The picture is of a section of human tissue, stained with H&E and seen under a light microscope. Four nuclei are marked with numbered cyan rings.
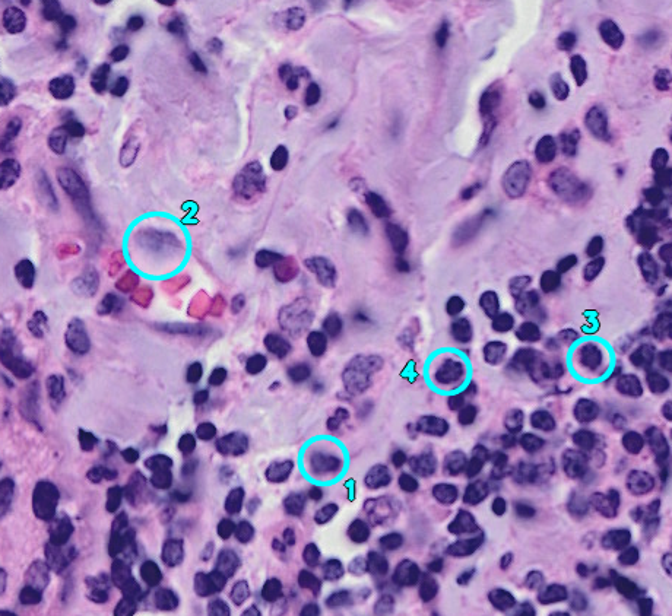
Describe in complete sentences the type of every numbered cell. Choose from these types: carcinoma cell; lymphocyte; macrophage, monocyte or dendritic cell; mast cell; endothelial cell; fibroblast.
Cell 1 is a lymphocyte, cell 2 is an endothelial cell, cell 3 is a lymphocyte and cell 4 is a lymphocyte.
